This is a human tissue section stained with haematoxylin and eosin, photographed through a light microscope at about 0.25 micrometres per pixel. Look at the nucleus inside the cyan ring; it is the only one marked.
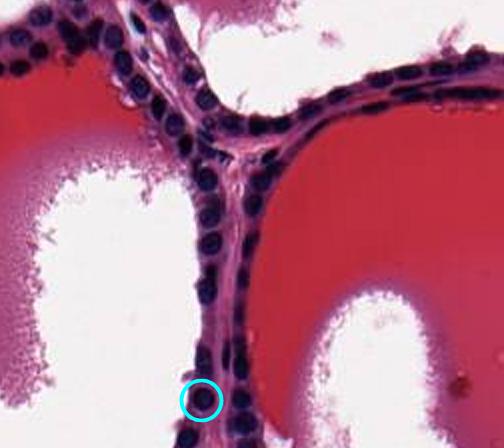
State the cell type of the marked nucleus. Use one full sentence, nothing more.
The marked nucleus sits within a thyroid follicular cell.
